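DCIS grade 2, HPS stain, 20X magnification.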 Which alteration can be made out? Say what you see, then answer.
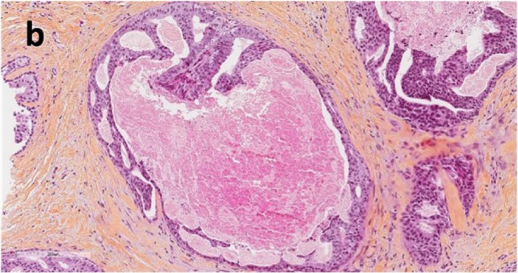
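The centre of the duct is filled with pink amorphous material without intact cells. A rim of epithelial cells surrounds the central material.
Conclusion: comedo-type necrosis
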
